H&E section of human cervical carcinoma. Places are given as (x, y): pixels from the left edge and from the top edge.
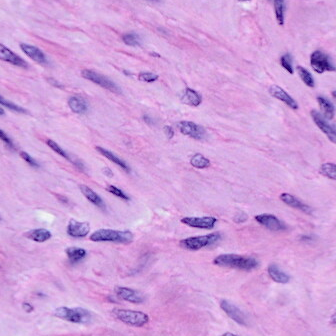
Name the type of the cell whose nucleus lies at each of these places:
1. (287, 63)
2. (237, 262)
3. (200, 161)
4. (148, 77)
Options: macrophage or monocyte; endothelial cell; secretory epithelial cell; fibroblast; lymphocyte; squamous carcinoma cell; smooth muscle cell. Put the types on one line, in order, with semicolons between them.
fibroblast; fibroblast; smooth muscle cell; smooth muscle cell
